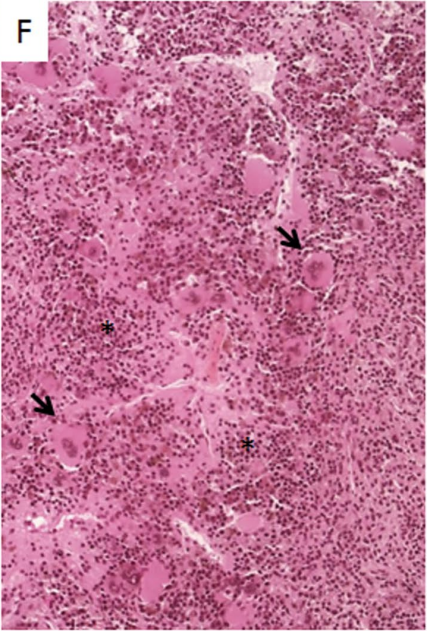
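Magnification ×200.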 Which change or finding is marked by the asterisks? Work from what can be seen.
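Erythroblastic hyperplasia. The asterisks lie in sheets of densely packed small round cells with dark round nuclei. These small cells fill most of the field between the giant cells.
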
